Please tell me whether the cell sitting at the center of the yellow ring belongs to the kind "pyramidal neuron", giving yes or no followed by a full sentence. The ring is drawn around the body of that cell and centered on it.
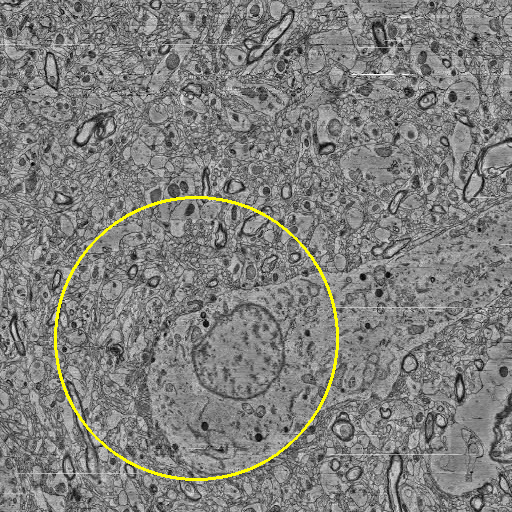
Yes, the cell at the center of the ring in the picture is of that kind.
